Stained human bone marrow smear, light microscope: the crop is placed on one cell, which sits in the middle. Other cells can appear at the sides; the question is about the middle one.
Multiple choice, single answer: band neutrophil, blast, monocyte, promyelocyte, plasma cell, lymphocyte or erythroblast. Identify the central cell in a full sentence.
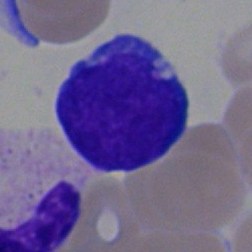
The cell featured at the centre of this crop is a blast.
